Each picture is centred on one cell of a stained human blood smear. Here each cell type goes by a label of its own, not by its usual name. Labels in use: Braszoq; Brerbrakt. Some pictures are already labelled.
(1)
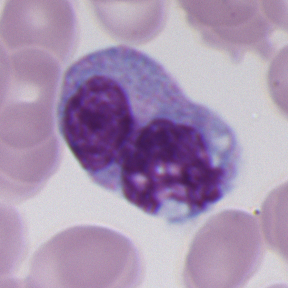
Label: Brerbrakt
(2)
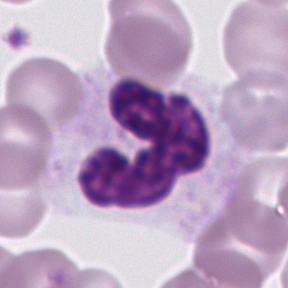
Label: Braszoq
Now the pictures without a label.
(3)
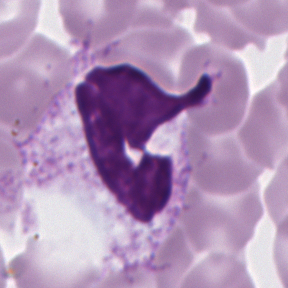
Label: Braszoq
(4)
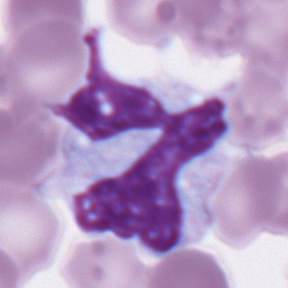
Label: Brerbrakt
